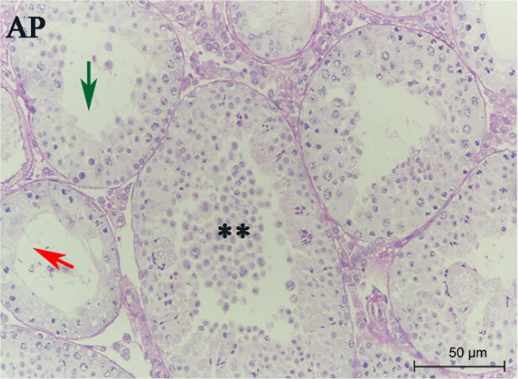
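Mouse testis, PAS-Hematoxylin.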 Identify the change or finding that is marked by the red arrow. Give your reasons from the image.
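Degenerative tubule. The marked tubule has only a thin layer of cells against its wall.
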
